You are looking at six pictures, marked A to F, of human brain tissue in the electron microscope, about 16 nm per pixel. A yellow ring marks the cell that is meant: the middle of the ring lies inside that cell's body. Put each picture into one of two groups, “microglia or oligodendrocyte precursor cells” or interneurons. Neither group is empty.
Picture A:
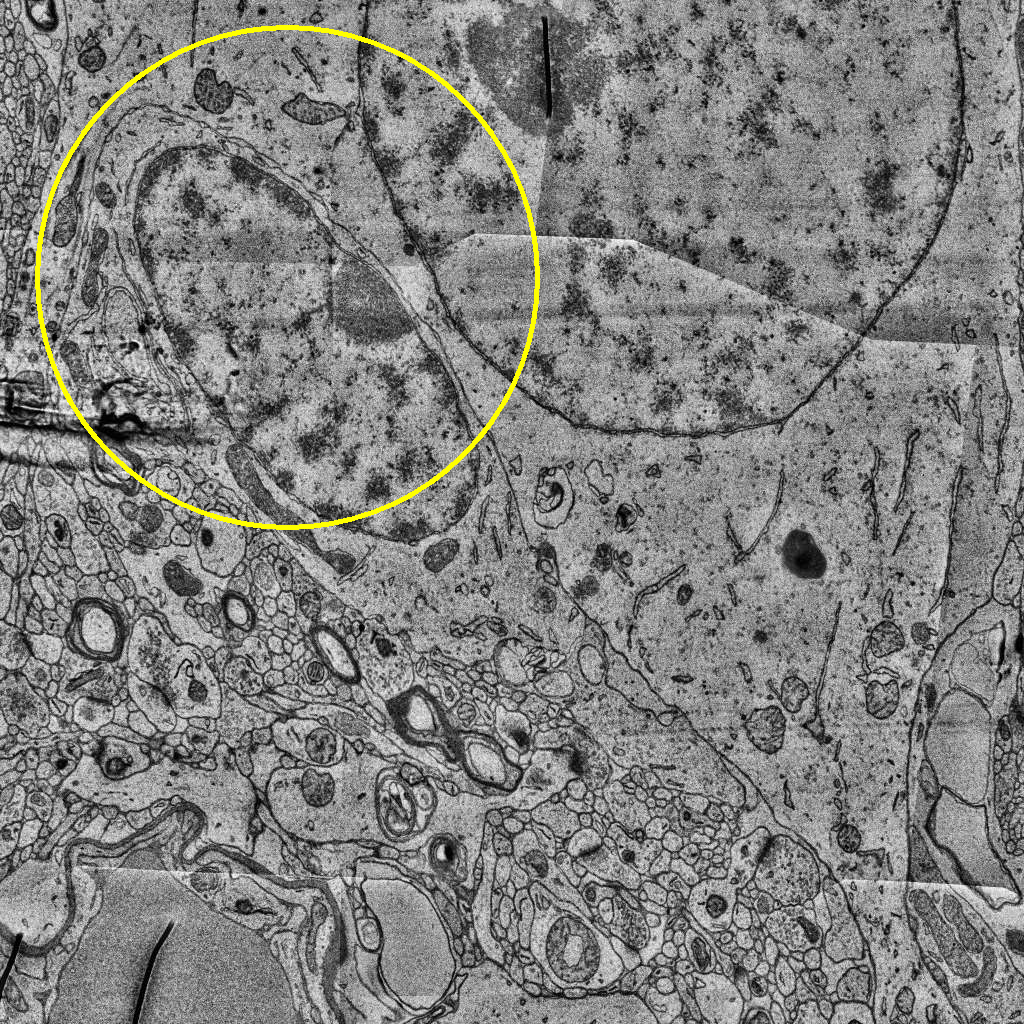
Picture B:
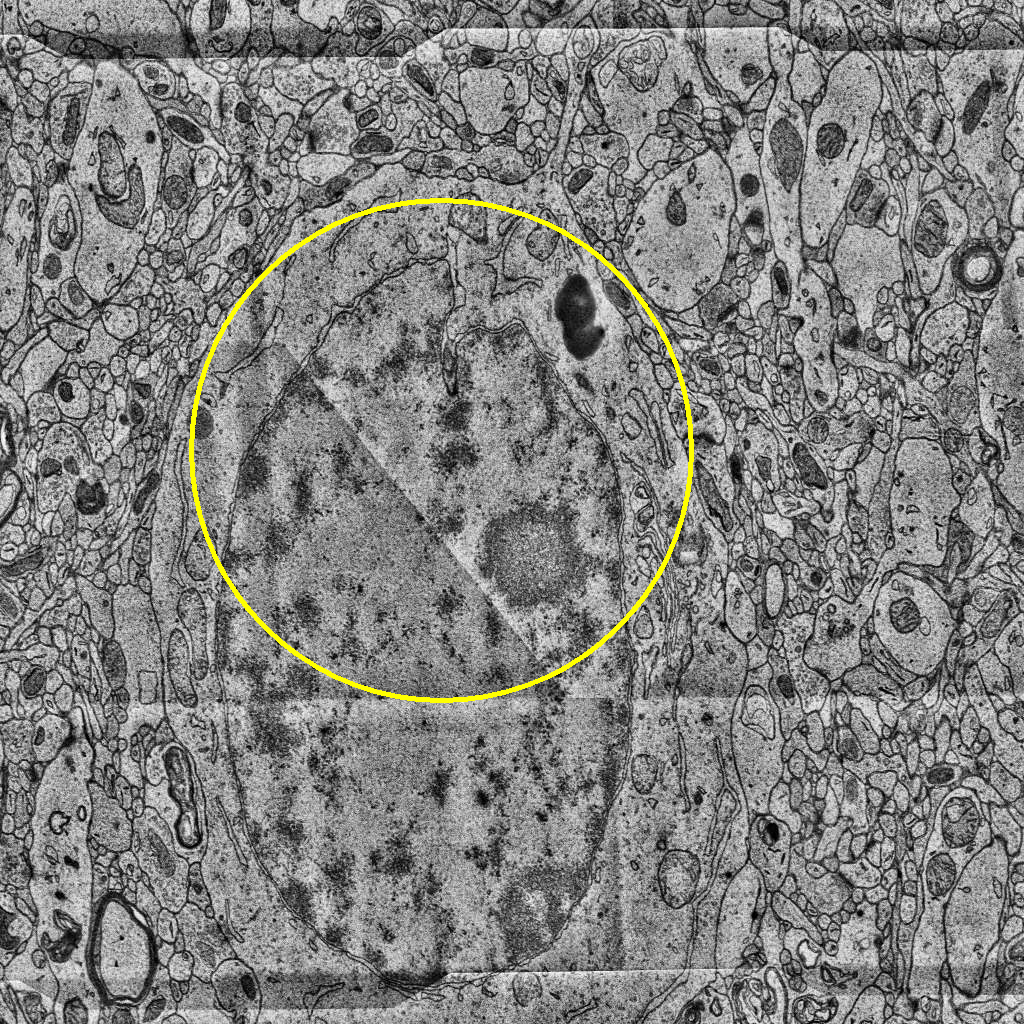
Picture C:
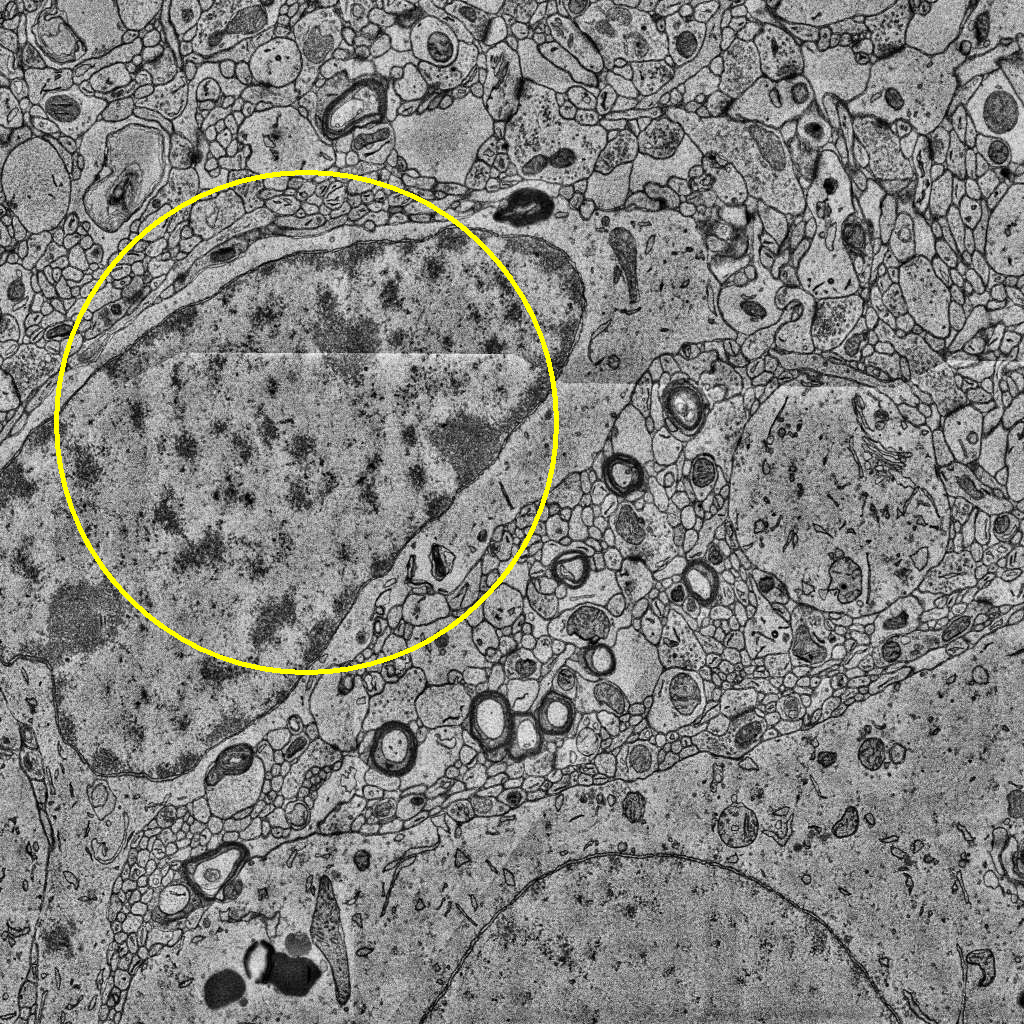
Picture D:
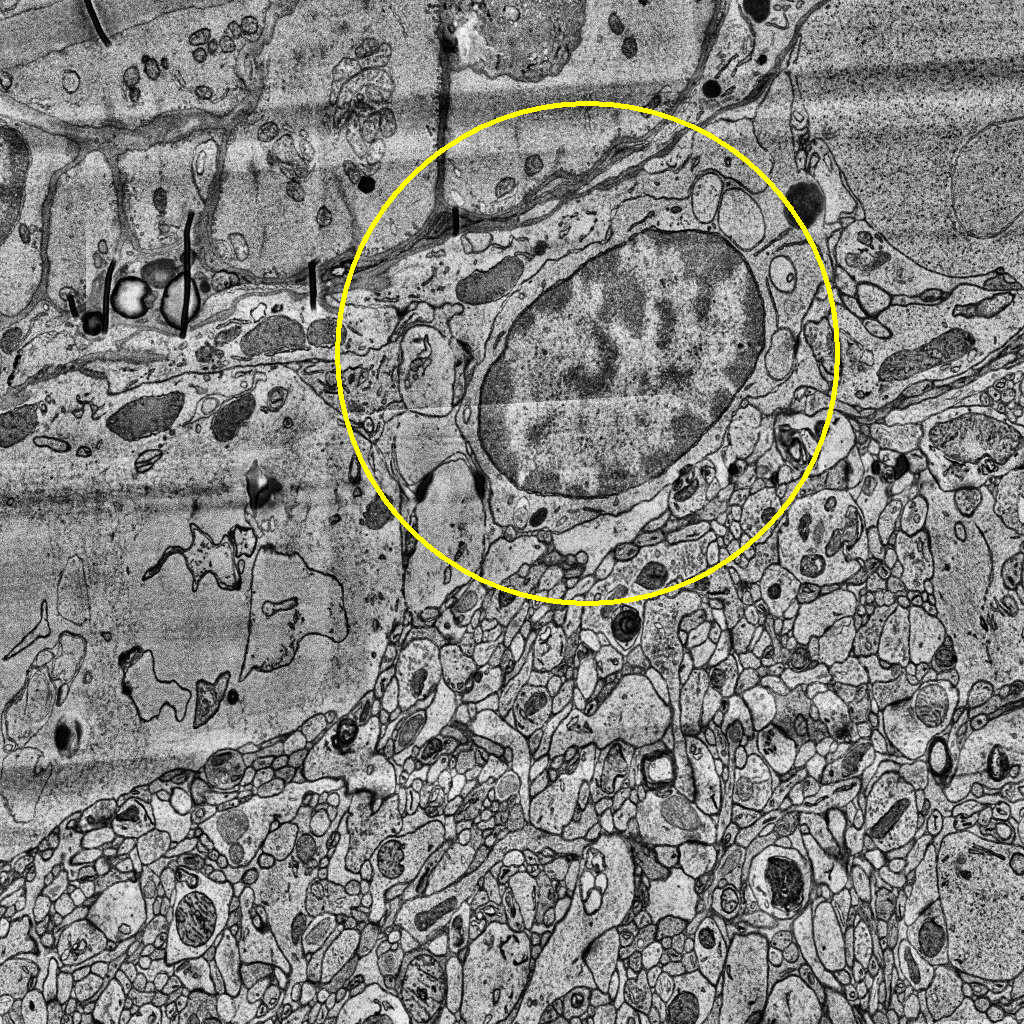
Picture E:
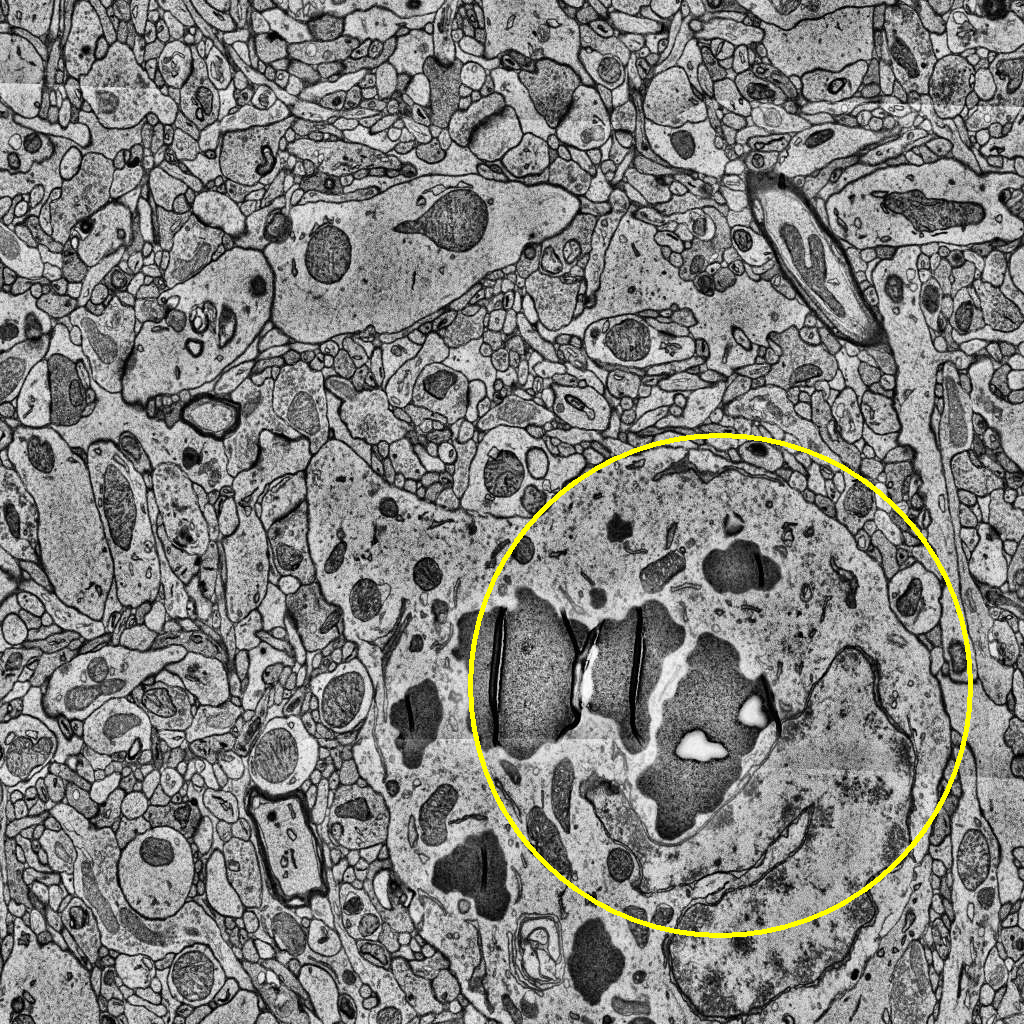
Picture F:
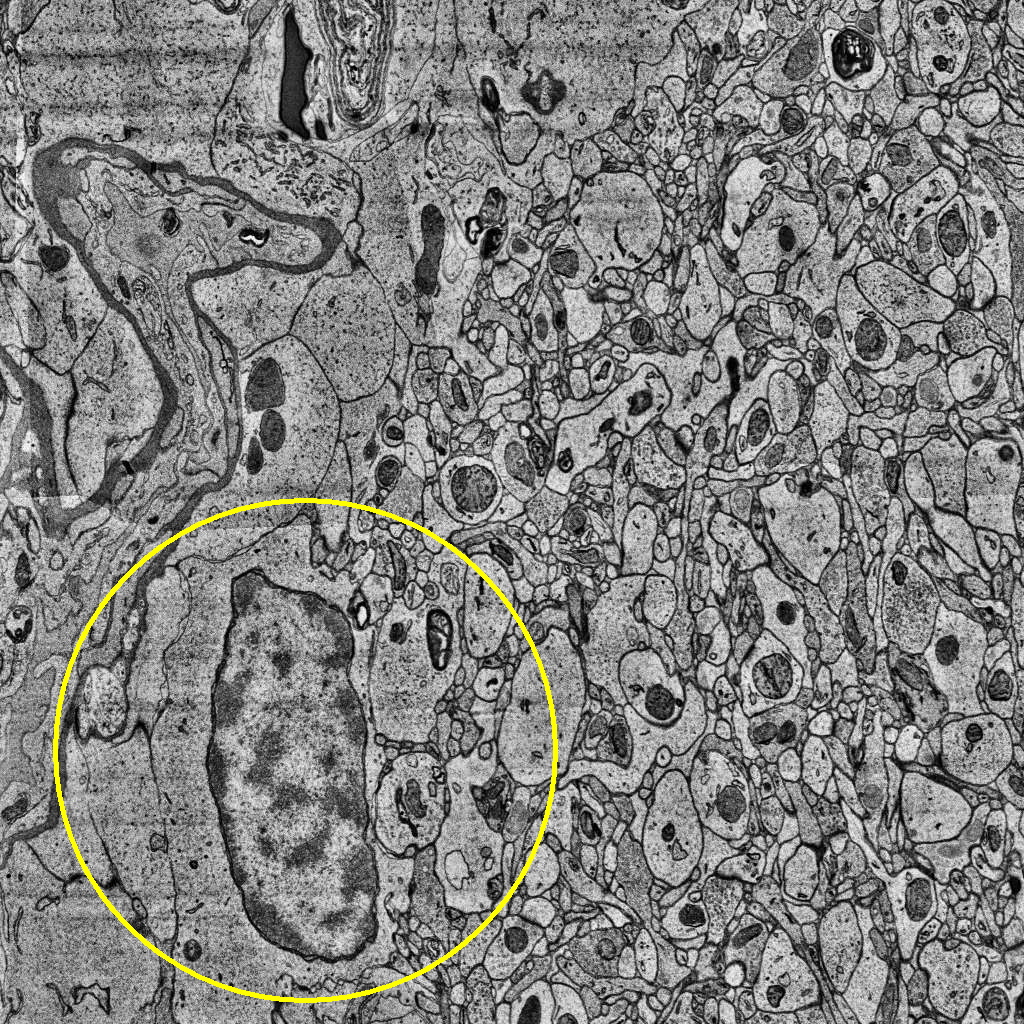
Pictures A, C, D and F show “microglia or oligodendrocyte precursor cells”; pictures B and E show interneurons.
